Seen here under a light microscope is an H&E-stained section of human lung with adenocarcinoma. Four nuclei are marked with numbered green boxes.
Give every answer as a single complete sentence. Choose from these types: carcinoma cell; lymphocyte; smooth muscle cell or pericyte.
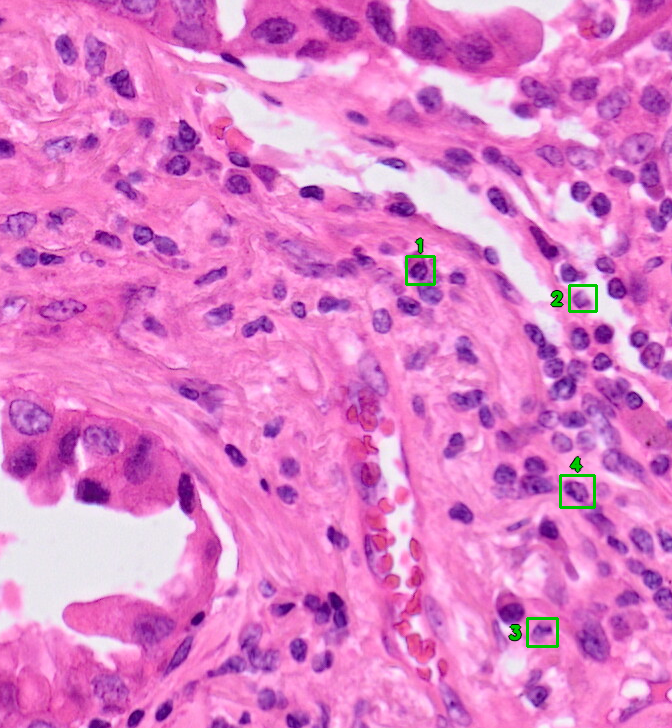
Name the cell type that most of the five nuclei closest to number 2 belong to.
Around number 2, most of the five nearest nuclei are those of lymphocytes.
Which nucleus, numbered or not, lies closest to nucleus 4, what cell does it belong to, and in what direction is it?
The nearest nucleus is that of a lymphocyte and lies to the right of nucleus 4.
